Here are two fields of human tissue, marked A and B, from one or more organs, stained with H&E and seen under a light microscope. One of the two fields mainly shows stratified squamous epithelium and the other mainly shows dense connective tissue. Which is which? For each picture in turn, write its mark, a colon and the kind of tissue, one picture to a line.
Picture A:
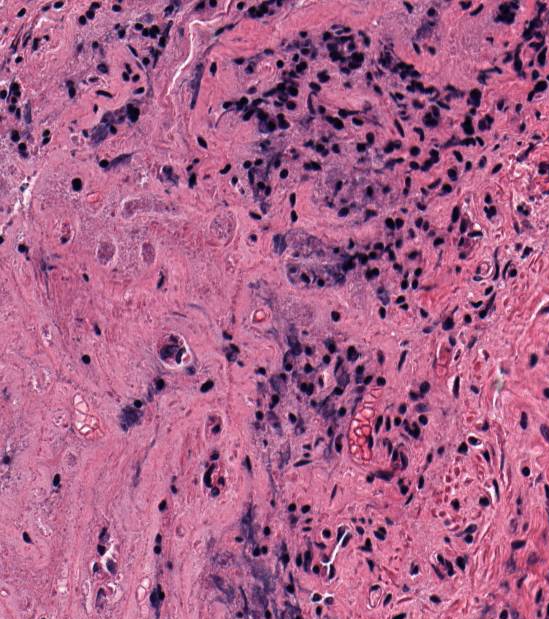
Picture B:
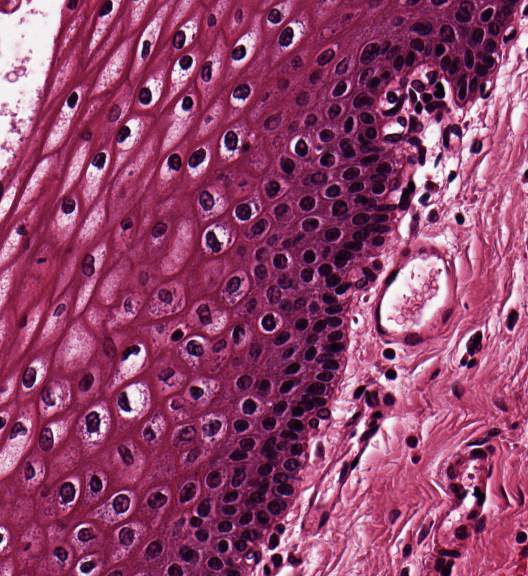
A: dense connective tissue
B: stratified squamous epithelium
